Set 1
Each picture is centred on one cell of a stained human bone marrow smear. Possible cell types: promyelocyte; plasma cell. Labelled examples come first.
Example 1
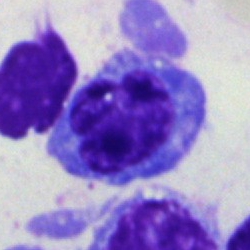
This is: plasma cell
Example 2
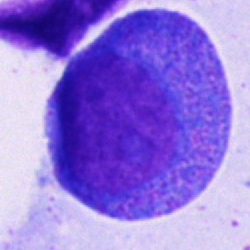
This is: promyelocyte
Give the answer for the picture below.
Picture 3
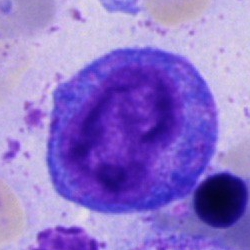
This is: promyelocyte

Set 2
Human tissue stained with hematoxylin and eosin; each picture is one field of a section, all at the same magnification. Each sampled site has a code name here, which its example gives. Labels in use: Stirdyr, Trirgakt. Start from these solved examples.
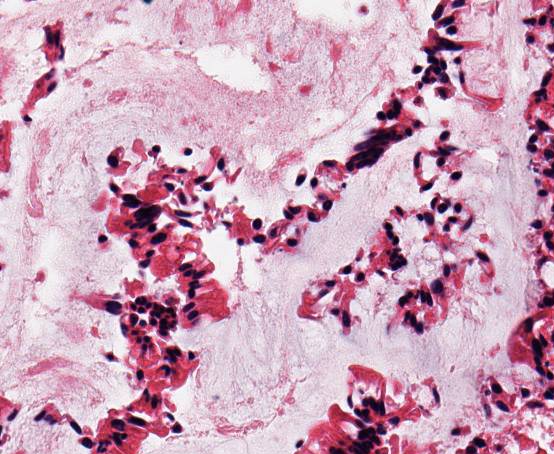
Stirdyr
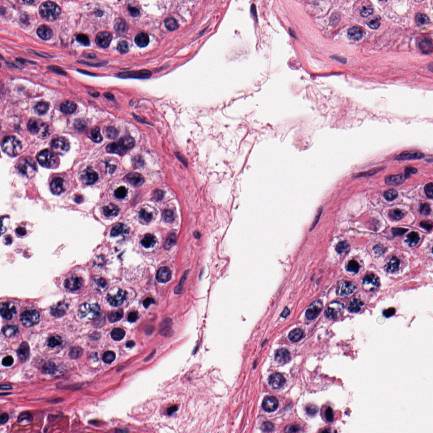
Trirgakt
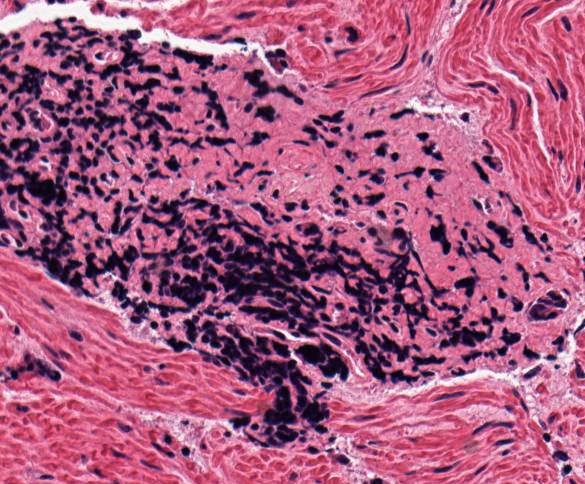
Stirdyr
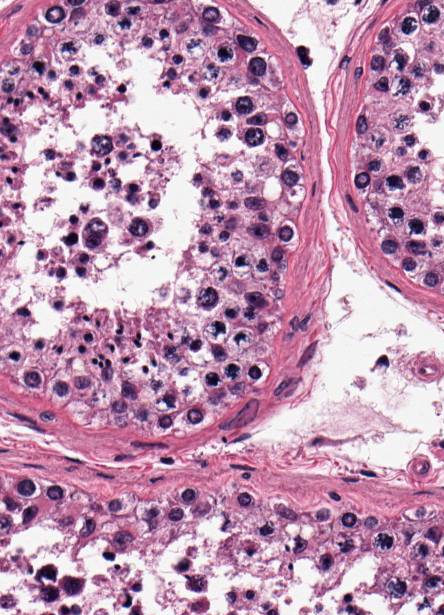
Trirgakt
